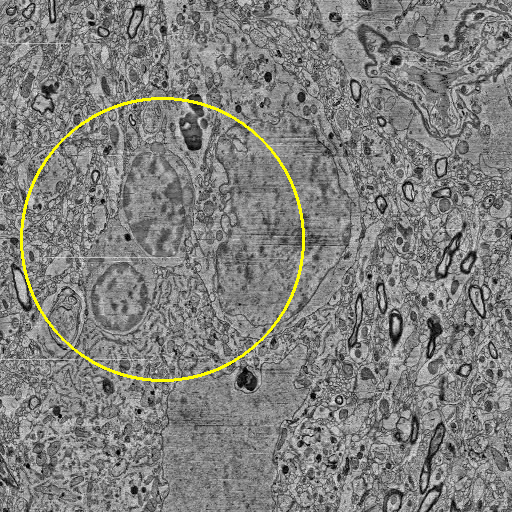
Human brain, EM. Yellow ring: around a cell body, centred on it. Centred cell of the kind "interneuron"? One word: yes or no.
no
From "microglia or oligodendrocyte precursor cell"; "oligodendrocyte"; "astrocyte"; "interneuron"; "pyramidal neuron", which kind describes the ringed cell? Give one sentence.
What the ring encloses here is an oligodendrocyte.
